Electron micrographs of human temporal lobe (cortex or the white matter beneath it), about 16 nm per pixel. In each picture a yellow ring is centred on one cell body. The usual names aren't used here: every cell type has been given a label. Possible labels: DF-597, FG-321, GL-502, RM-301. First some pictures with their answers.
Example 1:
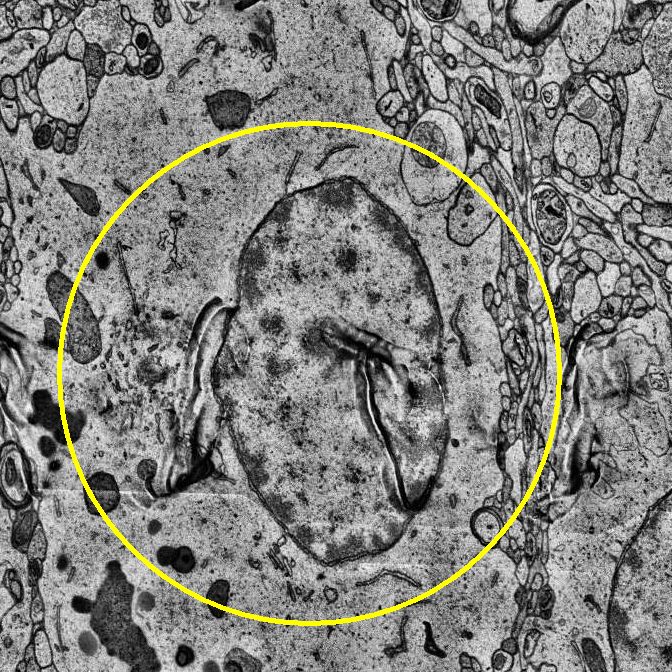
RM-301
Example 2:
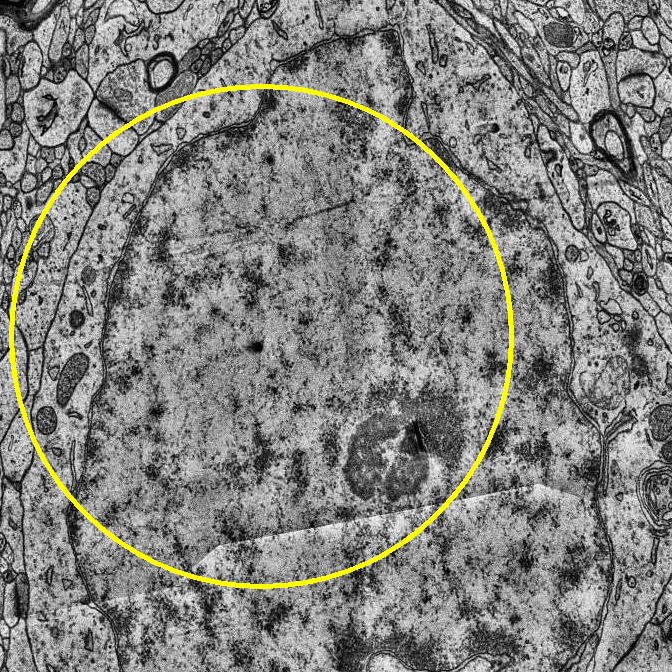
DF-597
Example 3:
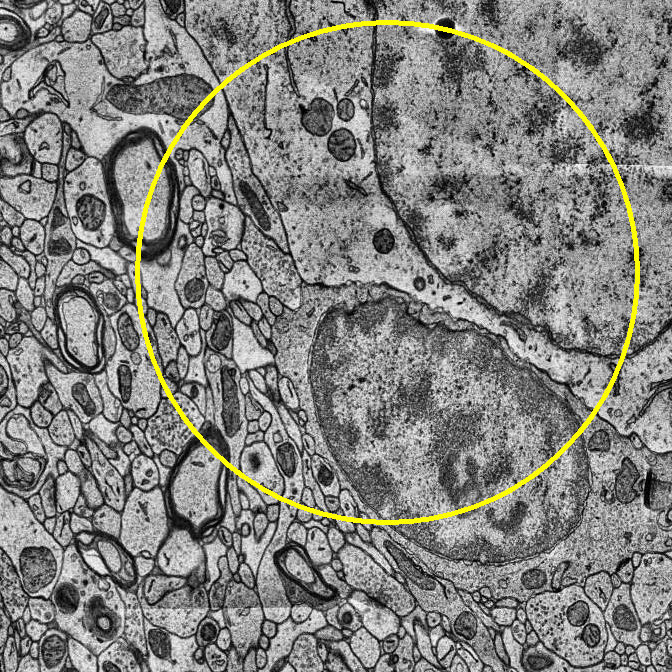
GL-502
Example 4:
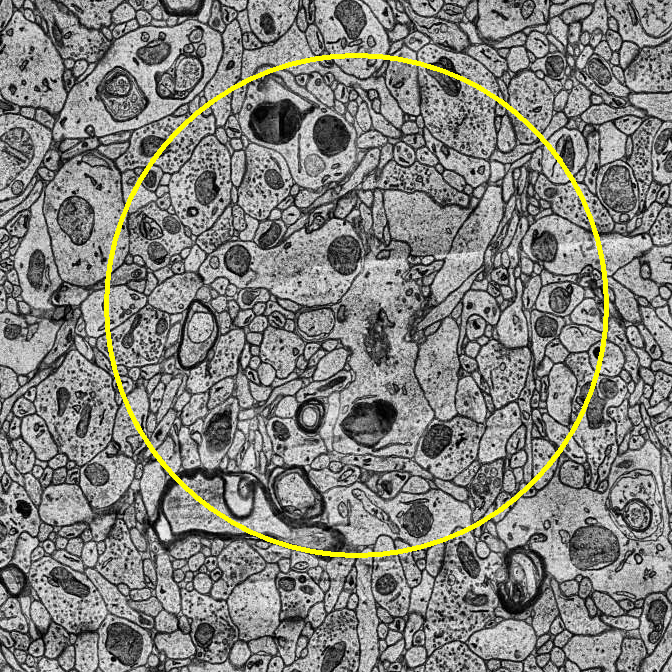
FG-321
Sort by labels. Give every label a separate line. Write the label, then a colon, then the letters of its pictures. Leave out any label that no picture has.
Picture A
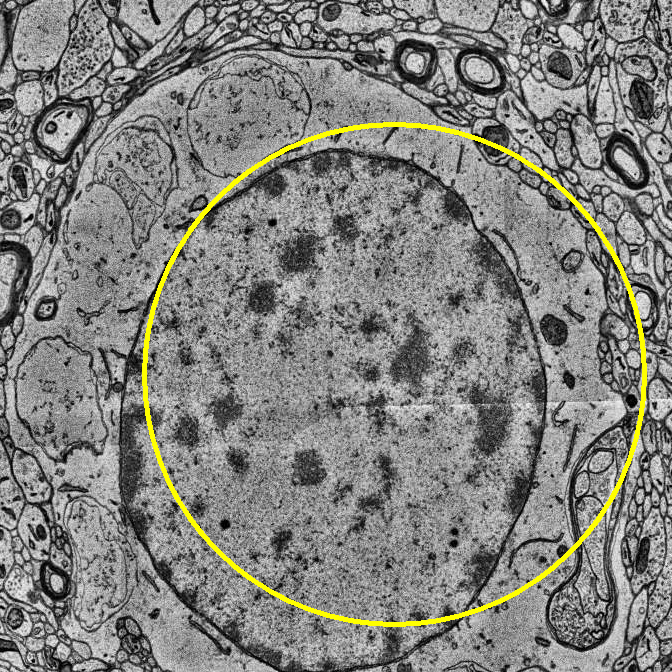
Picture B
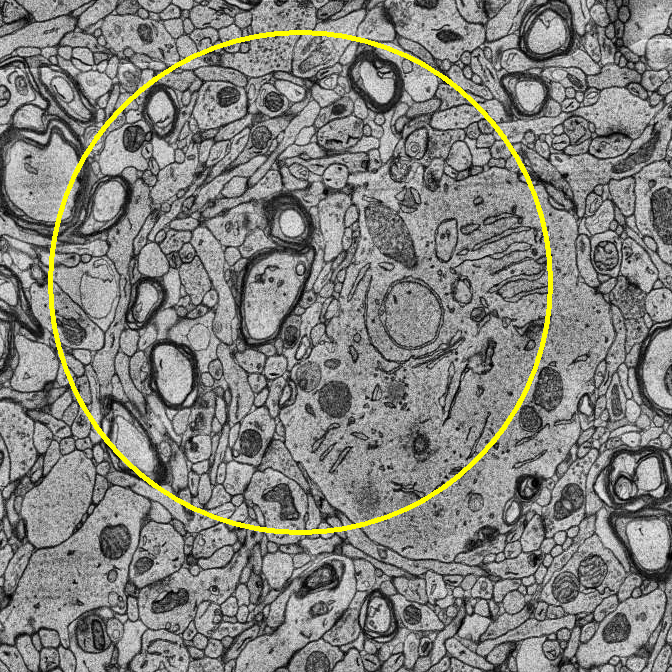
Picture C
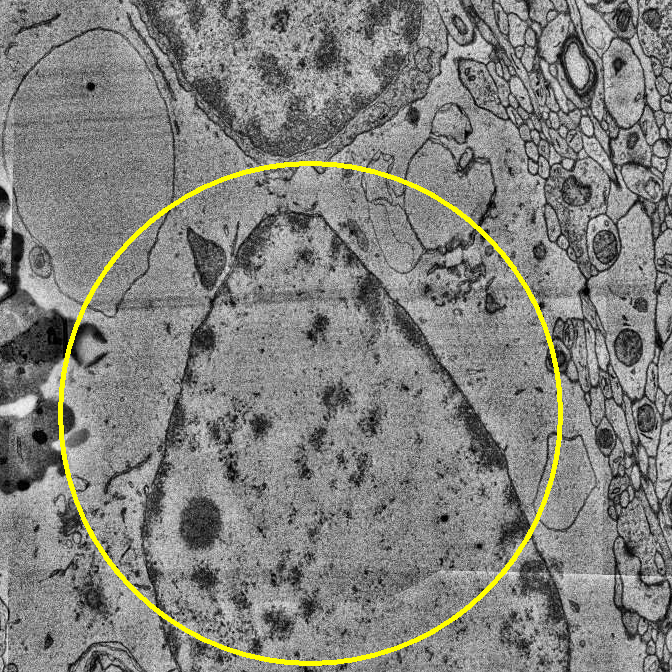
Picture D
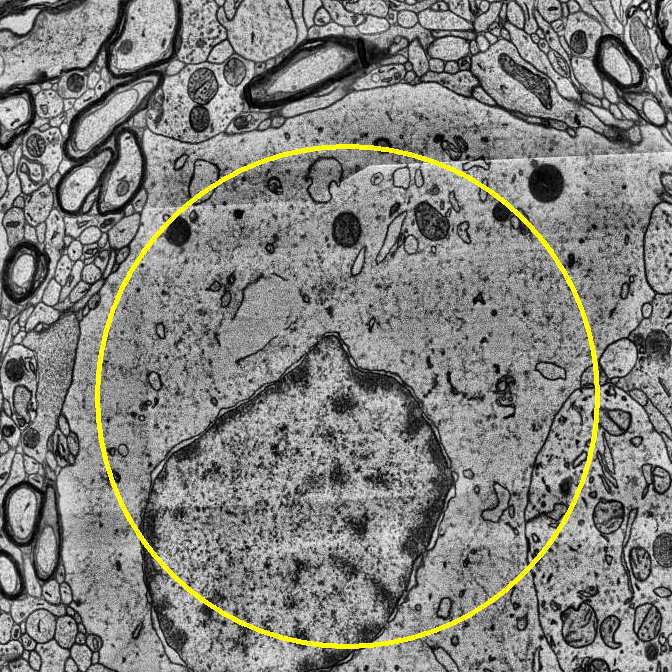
FG-321: B
RM-301: A, C, D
